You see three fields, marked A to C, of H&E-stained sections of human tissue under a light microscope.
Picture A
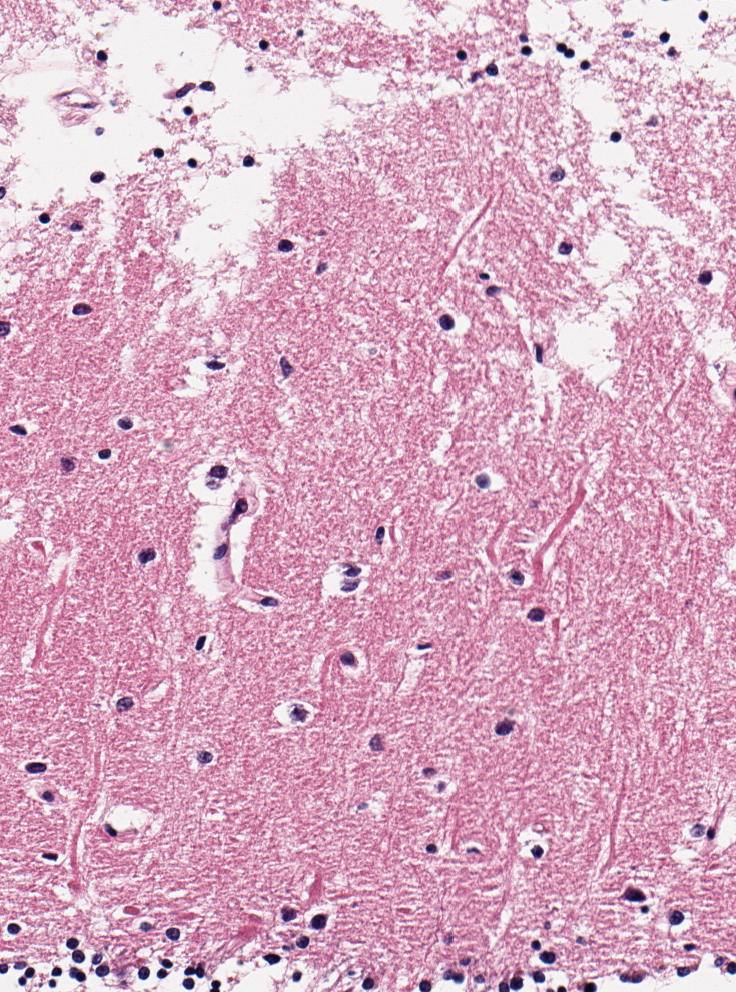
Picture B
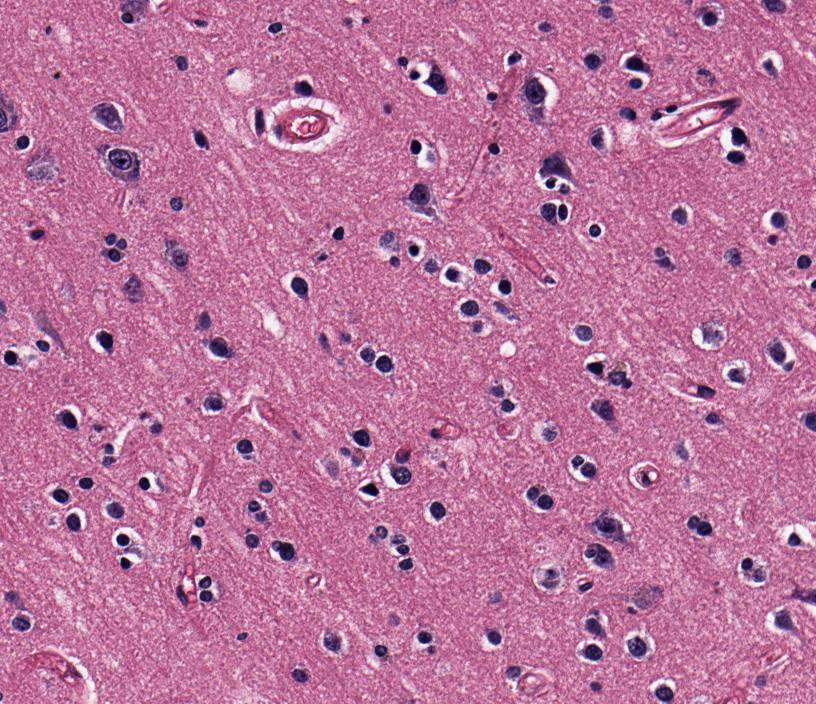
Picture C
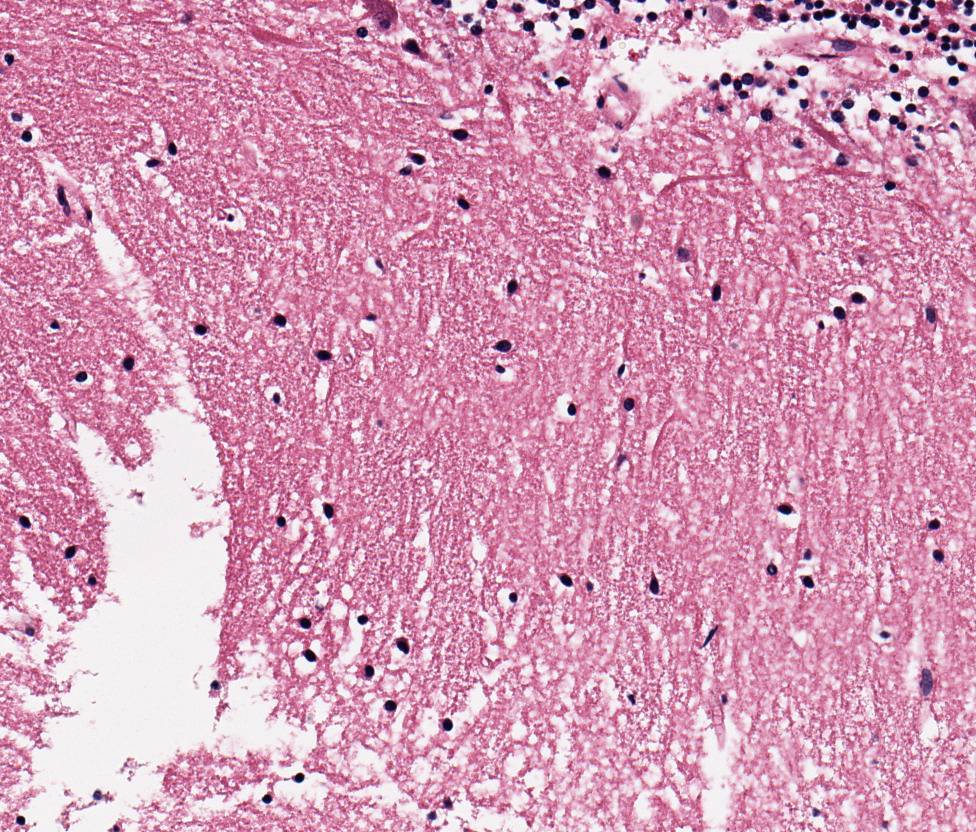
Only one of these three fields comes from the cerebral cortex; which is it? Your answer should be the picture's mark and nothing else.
B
